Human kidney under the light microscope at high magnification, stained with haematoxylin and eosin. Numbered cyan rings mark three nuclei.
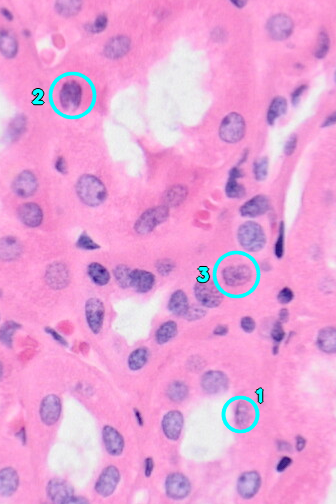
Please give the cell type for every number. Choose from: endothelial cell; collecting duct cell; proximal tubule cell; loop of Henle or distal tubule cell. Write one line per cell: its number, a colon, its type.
1: loop of Henle or distal tubule cell
2: proximal tubule cell
3: collecting duct cell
